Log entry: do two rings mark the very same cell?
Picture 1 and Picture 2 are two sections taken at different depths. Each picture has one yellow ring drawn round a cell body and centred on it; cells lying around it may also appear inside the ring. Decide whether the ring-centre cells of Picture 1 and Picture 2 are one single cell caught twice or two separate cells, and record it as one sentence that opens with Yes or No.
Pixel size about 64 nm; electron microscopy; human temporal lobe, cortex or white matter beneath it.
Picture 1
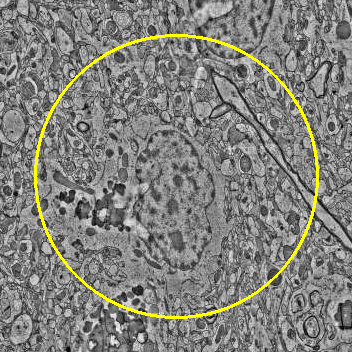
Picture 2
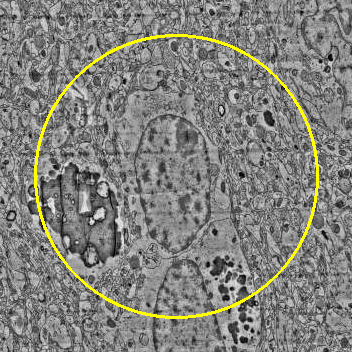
No, the yellow rings highlight two different cells in the tissue.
